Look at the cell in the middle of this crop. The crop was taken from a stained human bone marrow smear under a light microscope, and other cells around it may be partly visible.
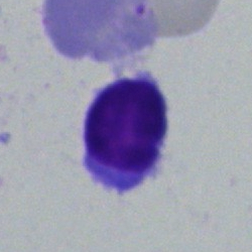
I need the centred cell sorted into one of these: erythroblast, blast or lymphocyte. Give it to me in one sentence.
Located at the centre of the crop is a lymphocyte.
